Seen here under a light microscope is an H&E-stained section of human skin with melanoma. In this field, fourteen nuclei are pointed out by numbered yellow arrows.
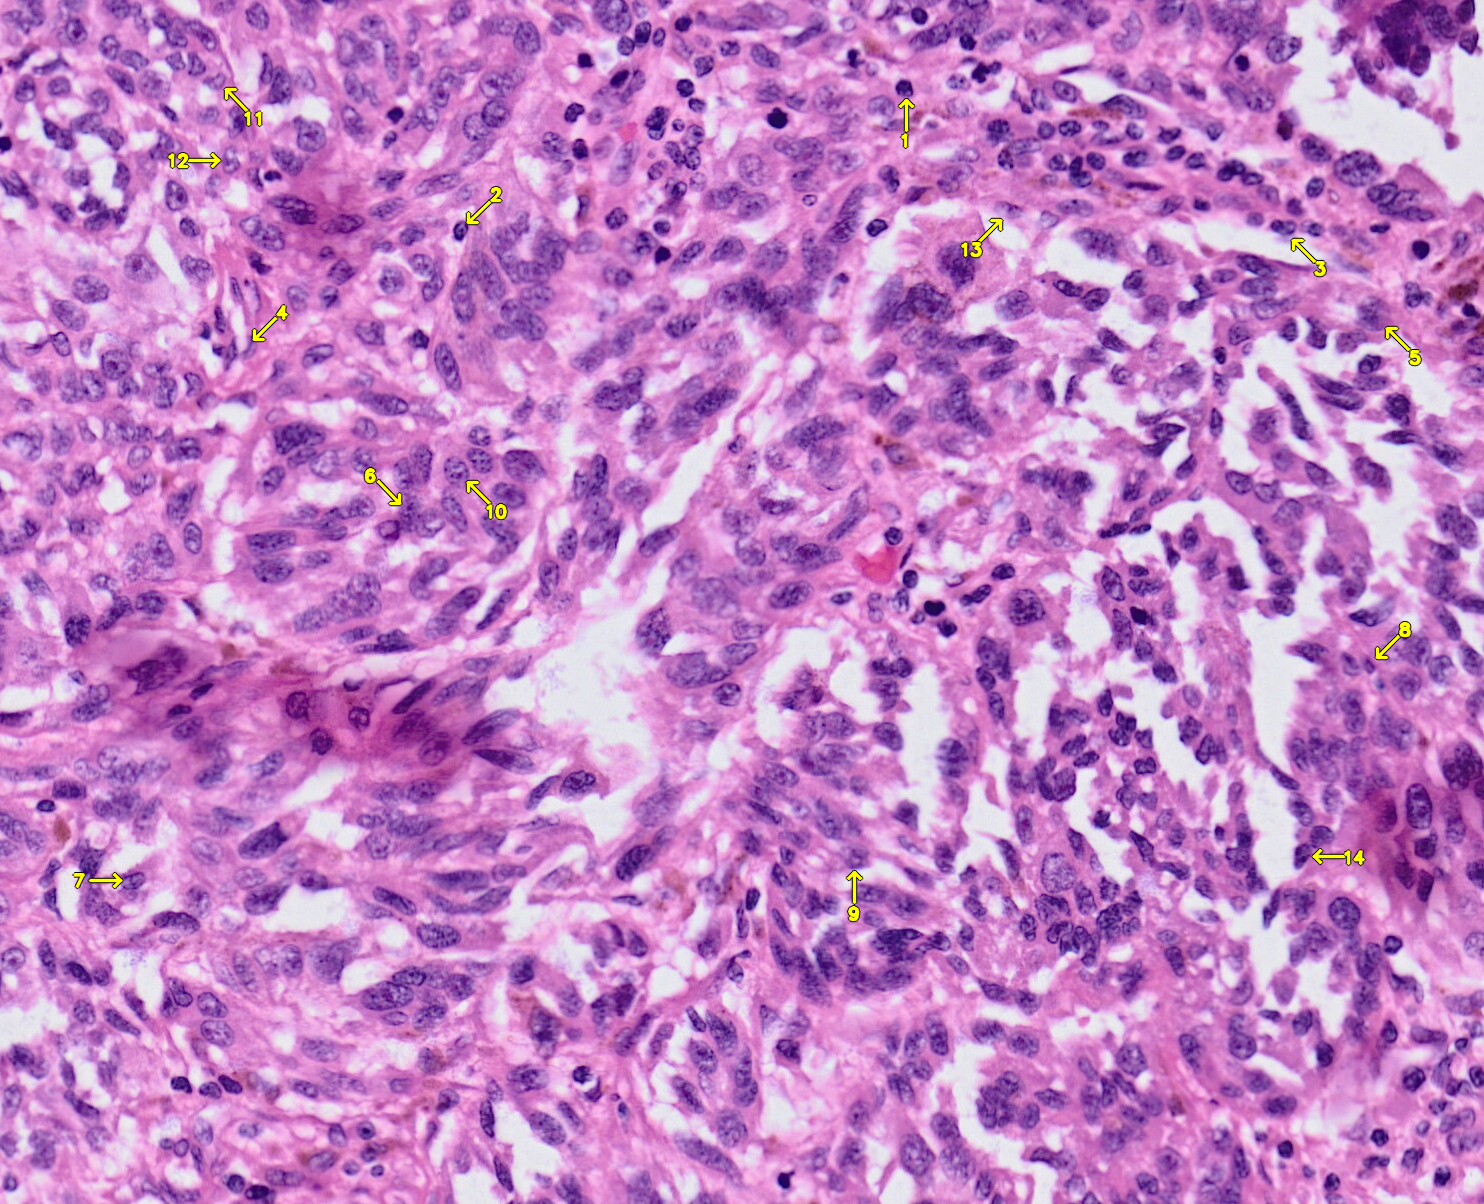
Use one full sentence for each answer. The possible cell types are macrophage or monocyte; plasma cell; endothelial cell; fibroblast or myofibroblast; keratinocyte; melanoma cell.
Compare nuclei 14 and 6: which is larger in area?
At about 1.5 times the area of nucleus 14, nucleus 6 is the larger of the two.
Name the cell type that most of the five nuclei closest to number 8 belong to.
Melanoma cells account for more than half of the five nuclei nearest to number 8.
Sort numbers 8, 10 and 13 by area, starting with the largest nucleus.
By area, largest first, they run 10, 13, 8.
